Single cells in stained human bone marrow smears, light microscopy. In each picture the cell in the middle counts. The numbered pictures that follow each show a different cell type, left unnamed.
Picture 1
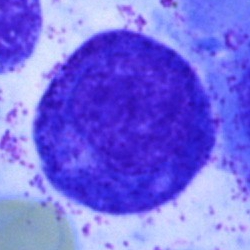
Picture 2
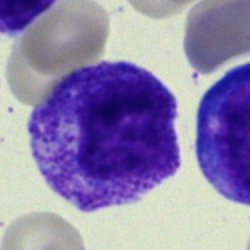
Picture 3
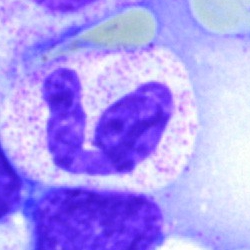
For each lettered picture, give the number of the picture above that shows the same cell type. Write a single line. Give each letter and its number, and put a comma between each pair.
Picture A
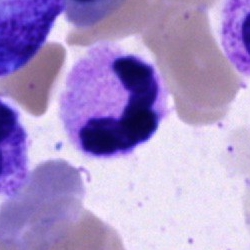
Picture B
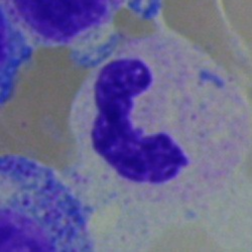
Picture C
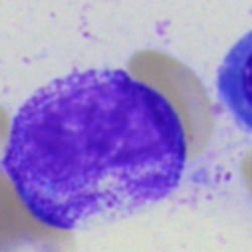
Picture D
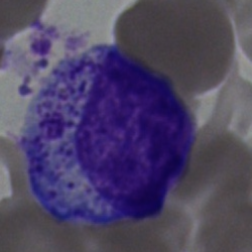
A 3, B 3, C 2, D 2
